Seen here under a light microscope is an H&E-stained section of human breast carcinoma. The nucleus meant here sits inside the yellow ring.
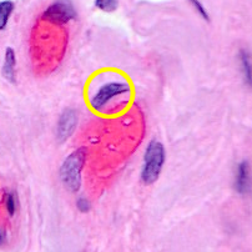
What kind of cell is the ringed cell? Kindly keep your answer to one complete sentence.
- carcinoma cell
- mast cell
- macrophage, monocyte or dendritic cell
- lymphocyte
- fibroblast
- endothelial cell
Labelled by cell type, the ringed cell is an endothelial cell.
